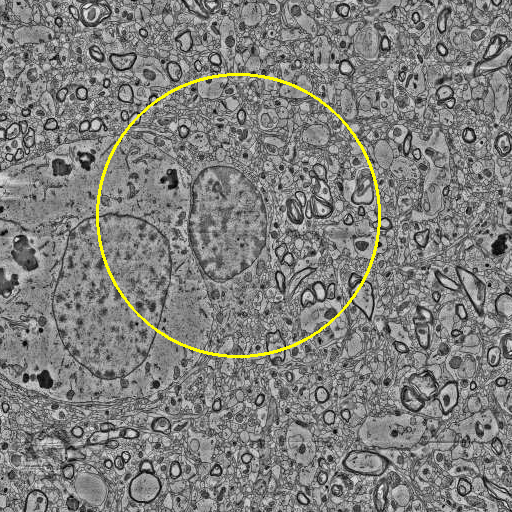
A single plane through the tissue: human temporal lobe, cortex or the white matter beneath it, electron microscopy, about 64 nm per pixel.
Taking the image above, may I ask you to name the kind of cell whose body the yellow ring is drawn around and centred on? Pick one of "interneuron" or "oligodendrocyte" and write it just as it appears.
oligodendrocyte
